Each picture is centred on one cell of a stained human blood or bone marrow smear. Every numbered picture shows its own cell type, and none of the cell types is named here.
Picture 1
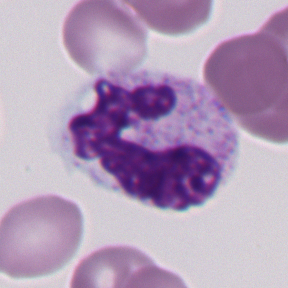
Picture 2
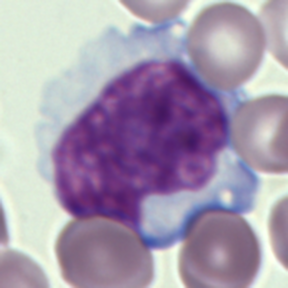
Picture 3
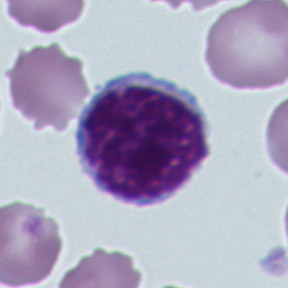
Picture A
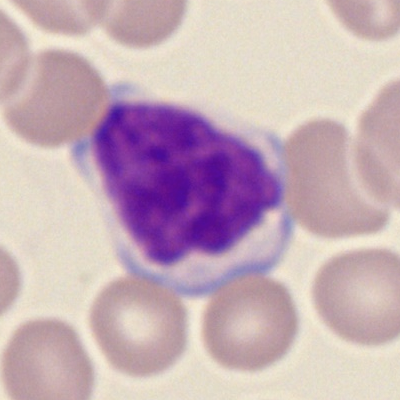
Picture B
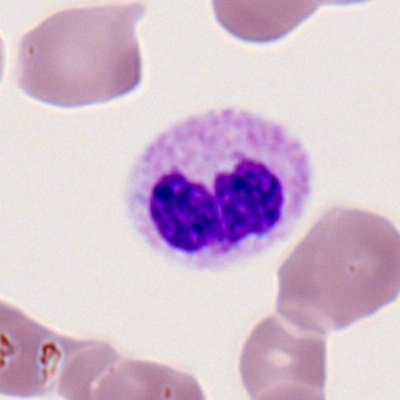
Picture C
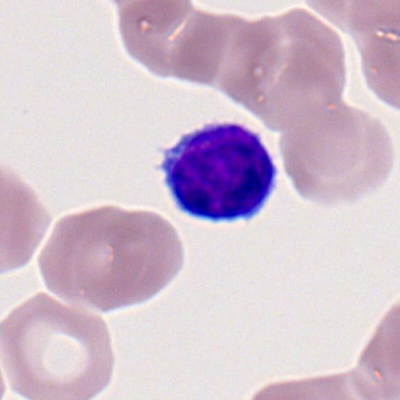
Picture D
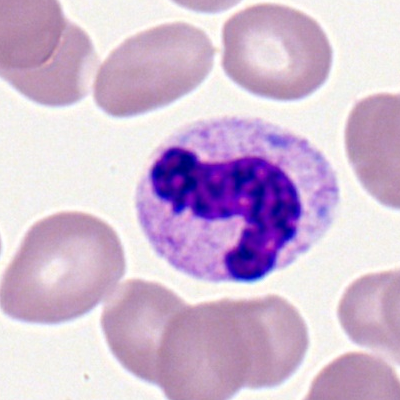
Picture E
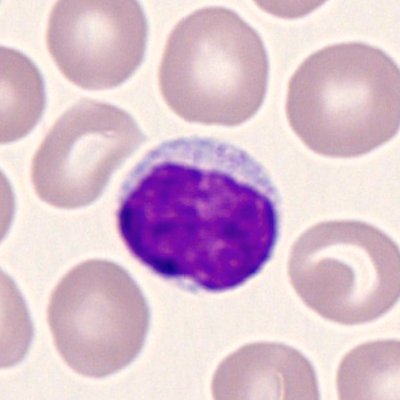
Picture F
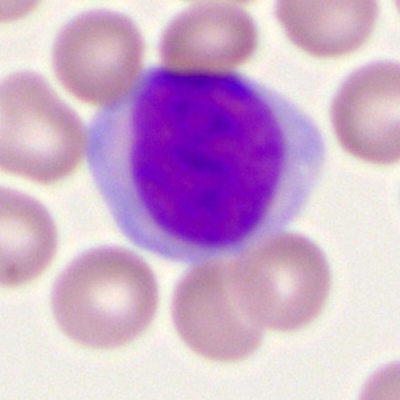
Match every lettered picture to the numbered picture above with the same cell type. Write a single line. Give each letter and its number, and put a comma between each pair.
A 3, B 1, C 3, D 1, E 3, F 2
